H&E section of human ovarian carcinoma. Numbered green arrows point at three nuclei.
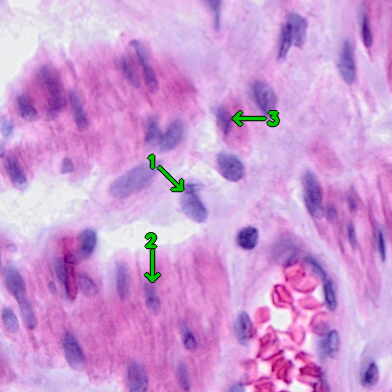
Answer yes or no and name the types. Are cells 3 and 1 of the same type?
No, as to type, cell 3 is a smooth muscle cell, and cell 1 is a fibroblast.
